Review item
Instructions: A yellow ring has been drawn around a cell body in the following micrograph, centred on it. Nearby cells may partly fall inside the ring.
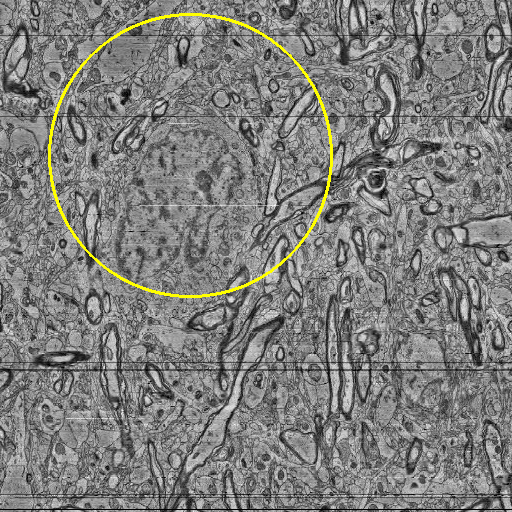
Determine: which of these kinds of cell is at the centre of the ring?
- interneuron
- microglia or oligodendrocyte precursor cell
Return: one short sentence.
The cell body in the middle of the ring is that of an interneuron.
